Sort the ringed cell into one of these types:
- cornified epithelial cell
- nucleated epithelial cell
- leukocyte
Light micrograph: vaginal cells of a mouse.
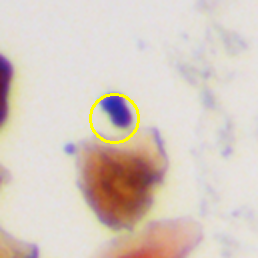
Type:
leukocyte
